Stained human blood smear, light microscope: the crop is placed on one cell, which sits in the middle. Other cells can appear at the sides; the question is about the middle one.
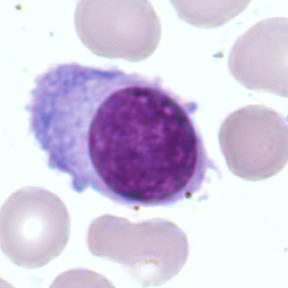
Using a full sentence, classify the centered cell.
As for the central cell, it is a plasma cell.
